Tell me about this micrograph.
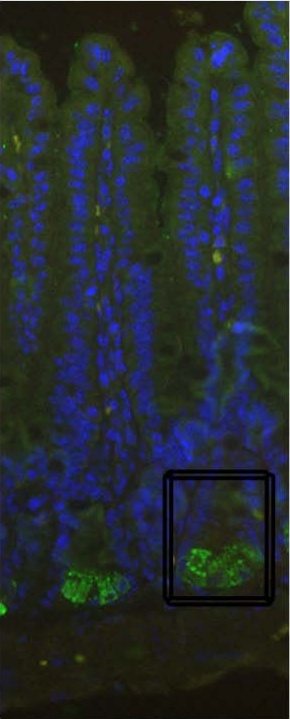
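This is a section of small intestinal mucosa with villi and crypts of Liberkühn. Tall villi lined by a single layer of columnar epithelium with closely packed blue nuclei rise toward the lumen at the top. Below them, the epithelium continues into tubular crypts that reach down toward the underlying muscle layer. At the bottom of the crypts, small groups of cells are filled with bright green granules, while the rest of the epithelium shows only faint background. A few scattered small green-yellow dots lie in the villus cores.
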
